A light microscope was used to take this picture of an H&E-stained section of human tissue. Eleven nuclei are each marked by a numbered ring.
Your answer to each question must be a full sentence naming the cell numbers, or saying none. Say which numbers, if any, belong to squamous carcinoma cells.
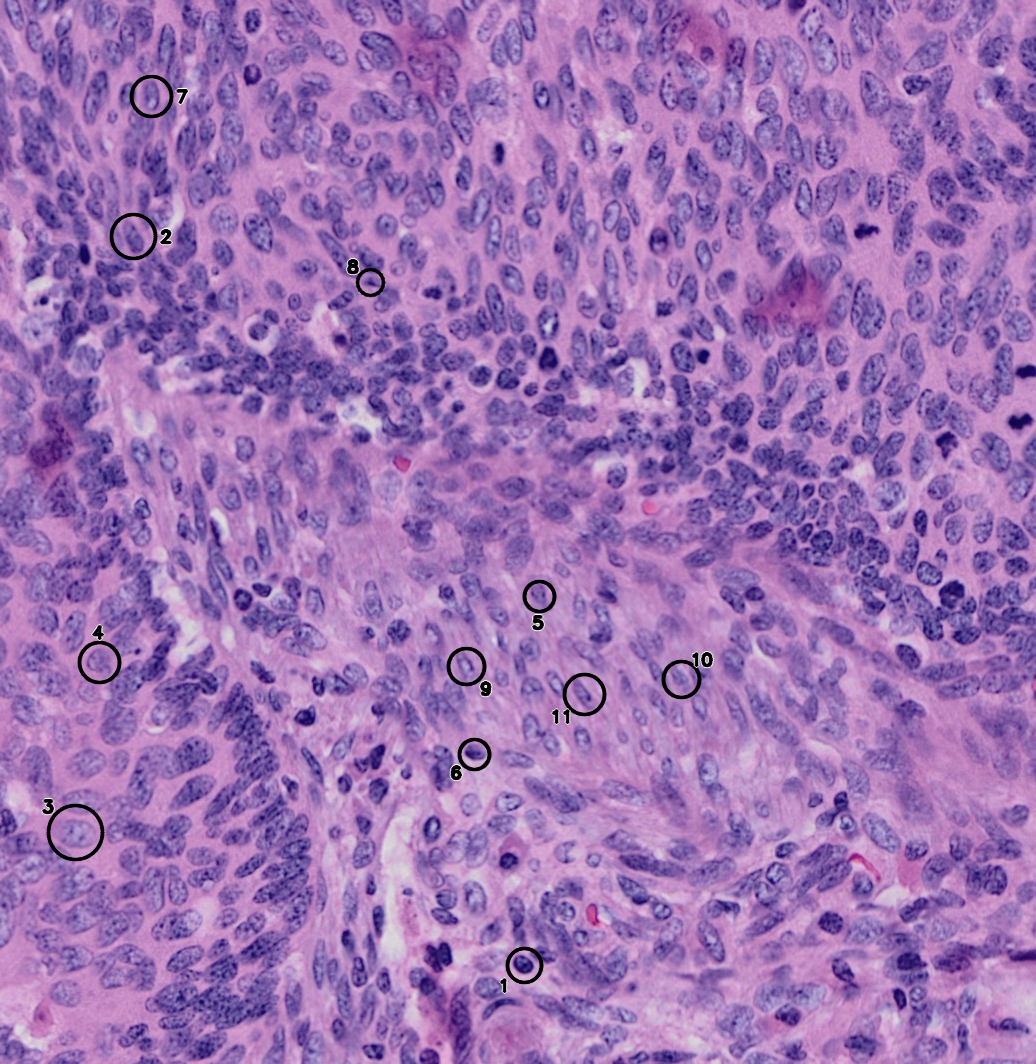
Cells 2, 3, 4, 7 and 8 in the section are typed as squamous carcinoma cells.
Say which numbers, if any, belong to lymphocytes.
The cells which carry the numbers 1 and 6 are lymphocytes.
